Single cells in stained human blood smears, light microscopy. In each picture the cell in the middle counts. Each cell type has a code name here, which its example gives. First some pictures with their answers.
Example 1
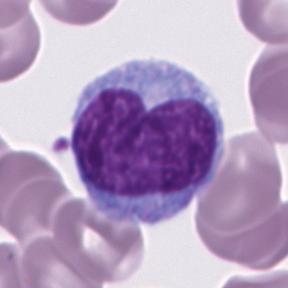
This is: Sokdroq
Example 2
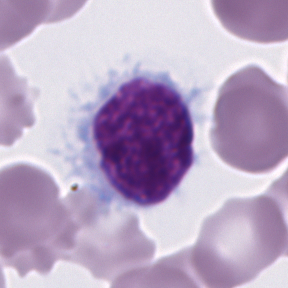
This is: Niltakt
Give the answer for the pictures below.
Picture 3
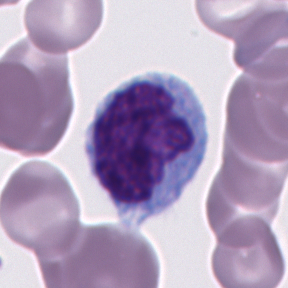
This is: Sokdroq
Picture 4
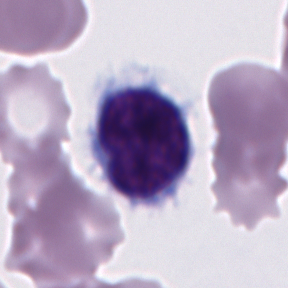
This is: Niltakt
